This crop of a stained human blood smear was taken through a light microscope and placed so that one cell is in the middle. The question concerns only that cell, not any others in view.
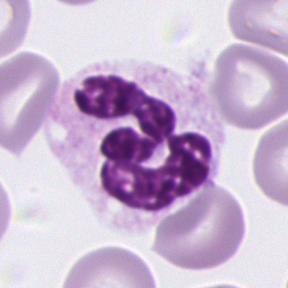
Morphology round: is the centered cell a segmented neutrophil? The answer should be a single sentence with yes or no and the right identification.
Yes, the cell sitting in the middle of this smear crop is a segmented neutrophil.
